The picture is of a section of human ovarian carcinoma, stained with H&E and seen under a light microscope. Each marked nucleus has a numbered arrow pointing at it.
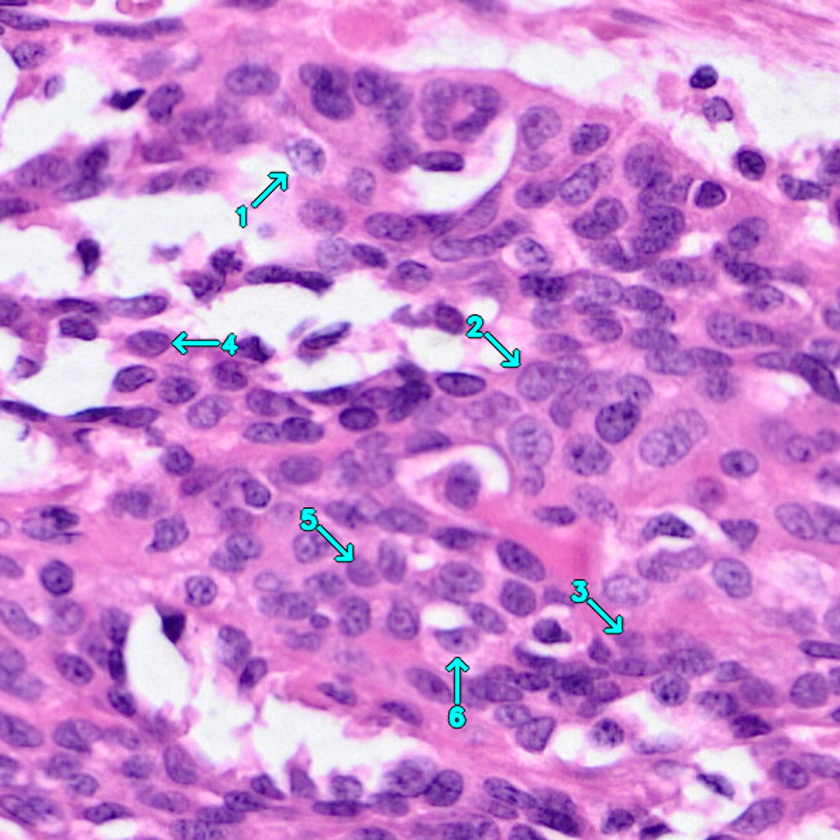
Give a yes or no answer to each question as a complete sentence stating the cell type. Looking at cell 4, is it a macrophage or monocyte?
No, cell 4 is not a macrophage or monocyte; it is a carcinoma cell.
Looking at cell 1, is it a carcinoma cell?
No, the cell bearing number 1 is not a carcinoma cell but a macrophage or monocyte.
